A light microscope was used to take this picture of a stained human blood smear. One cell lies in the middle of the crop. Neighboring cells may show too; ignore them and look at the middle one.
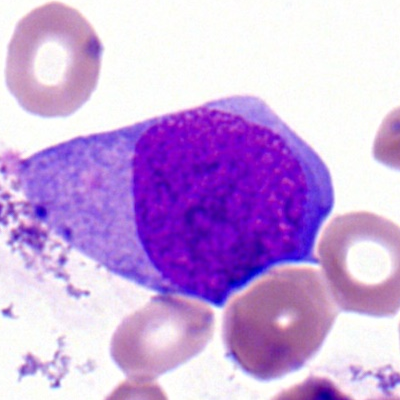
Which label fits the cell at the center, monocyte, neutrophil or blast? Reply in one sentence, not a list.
Within this crop, a blast occupies the central position.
